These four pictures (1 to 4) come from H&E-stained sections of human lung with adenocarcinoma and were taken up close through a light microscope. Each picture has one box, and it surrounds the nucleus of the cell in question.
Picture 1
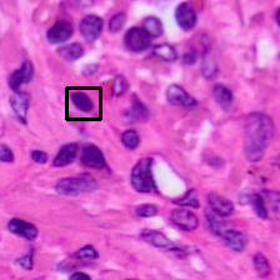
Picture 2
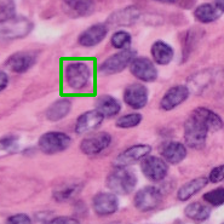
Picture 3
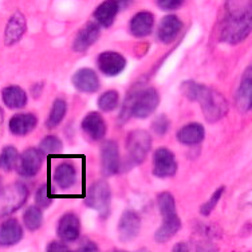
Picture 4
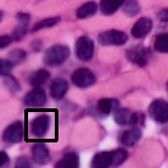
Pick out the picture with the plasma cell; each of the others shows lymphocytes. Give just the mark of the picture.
1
